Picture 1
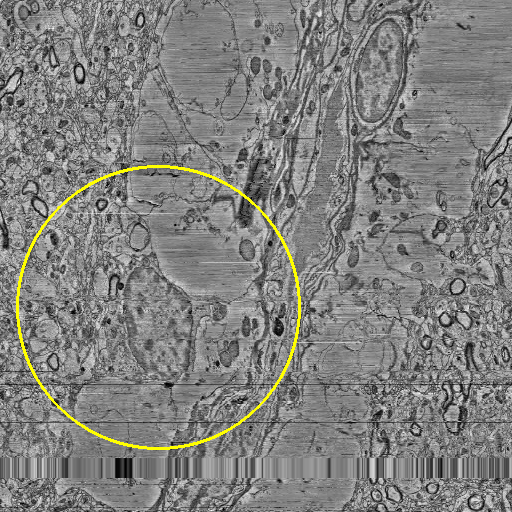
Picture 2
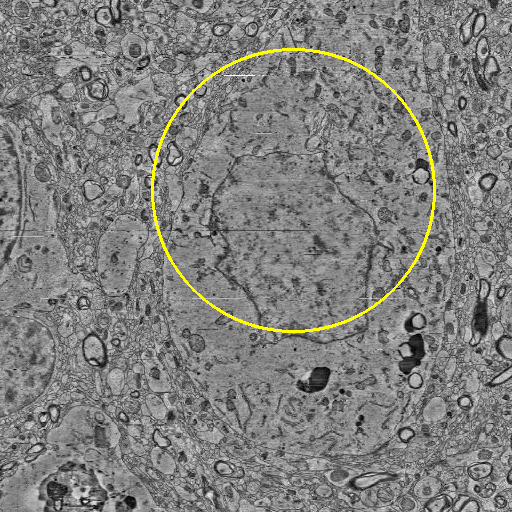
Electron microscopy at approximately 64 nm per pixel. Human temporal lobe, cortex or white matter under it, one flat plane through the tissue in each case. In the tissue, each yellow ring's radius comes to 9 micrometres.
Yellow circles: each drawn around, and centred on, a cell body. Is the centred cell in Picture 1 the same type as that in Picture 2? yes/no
no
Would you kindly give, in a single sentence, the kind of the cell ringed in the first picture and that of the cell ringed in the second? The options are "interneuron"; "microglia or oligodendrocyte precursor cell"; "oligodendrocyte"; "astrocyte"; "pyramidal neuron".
The second cell is a pyramidal neuron, and the first cell is an oligodendrocyte.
